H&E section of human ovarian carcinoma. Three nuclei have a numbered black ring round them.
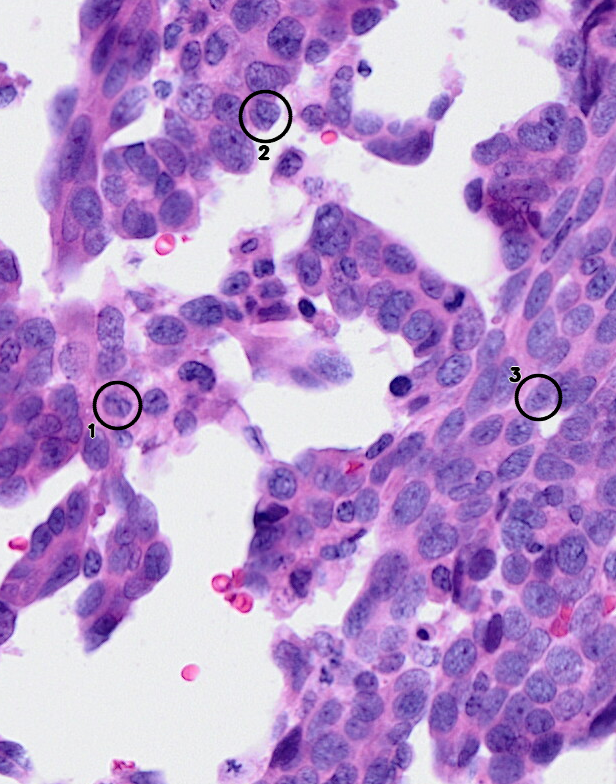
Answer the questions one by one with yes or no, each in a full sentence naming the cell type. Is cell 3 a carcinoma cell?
Yes, the cell that is numbered 3 is a carcinoma cell.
